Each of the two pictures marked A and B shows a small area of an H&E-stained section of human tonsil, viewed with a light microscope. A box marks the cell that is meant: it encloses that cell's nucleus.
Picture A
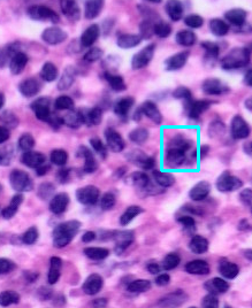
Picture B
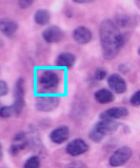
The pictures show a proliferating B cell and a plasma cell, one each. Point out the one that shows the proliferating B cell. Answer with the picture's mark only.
A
